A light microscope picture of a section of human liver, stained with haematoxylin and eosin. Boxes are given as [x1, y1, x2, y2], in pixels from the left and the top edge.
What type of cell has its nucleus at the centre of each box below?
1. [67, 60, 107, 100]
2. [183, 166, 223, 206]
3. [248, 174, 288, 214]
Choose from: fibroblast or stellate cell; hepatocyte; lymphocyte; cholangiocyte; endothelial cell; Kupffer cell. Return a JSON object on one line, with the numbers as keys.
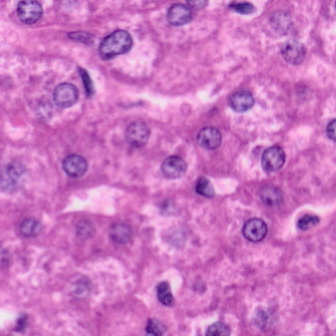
{"1": "endothelial cell", "2": "endothelial cell", "3": "hepatocyte"}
